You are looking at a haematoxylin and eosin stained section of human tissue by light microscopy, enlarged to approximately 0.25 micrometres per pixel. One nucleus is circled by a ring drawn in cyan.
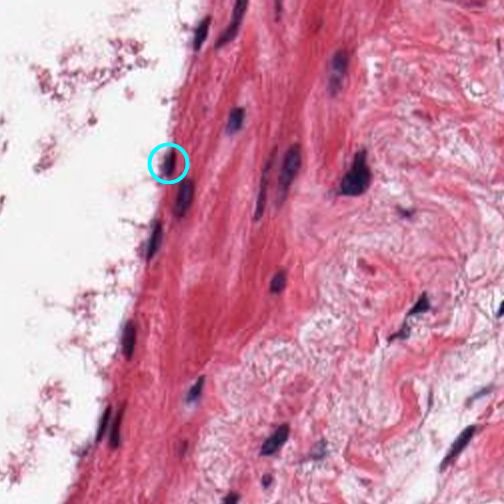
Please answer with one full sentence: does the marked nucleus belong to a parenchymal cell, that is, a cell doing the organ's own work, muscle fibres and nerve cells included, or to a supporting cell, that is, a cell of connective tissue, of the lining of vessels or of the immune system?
In this field, the marked nucleus is the nucleus of a supporting cell.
